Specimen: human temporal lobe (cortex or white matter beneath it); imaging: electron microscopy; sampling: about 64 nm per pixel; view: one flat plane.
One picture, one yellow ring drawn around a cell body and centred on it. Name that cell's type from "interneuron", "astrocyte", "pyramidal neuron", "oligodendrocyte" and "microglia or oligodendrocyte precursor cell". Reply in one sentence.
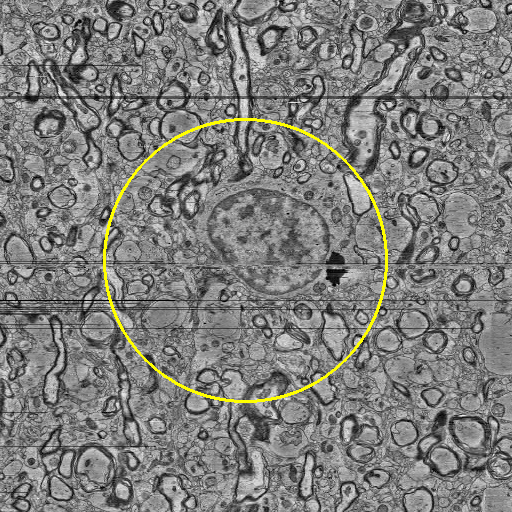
Centred in the ring is an oligodendrocyte.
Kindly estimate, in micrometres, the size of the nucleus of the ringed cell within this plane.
In this plane the nucleus measures roughly 8 by 6 micrometres.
